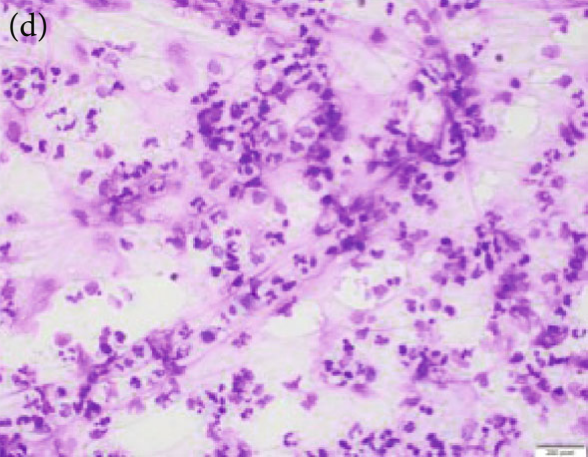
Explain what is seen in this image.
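Many cells have dark purple segmented nuclei, packed in dense clusters. Fewer larger cells have rounder nuclei and pale cytoplasm. Pale pink fibrillar strands and sheets run across the background, some aligned in long streaks, with cells caught along and between them. Clear rounded spaces lie among the strands. The background is more crowded with fibrillar material than a clean smear.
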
